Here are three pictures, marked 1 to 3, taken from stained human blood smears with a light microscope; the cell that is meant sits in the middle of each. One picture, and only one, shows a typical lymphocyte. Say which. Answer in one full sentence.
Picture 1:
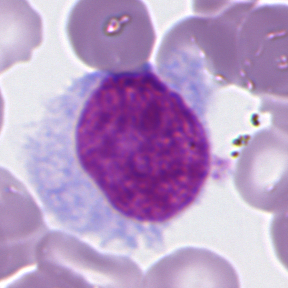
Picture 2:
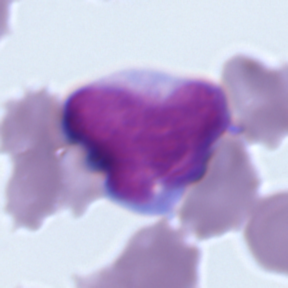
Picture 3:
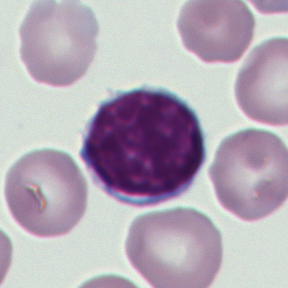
Picture 3 is the one that shows the typical lymphocyte.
